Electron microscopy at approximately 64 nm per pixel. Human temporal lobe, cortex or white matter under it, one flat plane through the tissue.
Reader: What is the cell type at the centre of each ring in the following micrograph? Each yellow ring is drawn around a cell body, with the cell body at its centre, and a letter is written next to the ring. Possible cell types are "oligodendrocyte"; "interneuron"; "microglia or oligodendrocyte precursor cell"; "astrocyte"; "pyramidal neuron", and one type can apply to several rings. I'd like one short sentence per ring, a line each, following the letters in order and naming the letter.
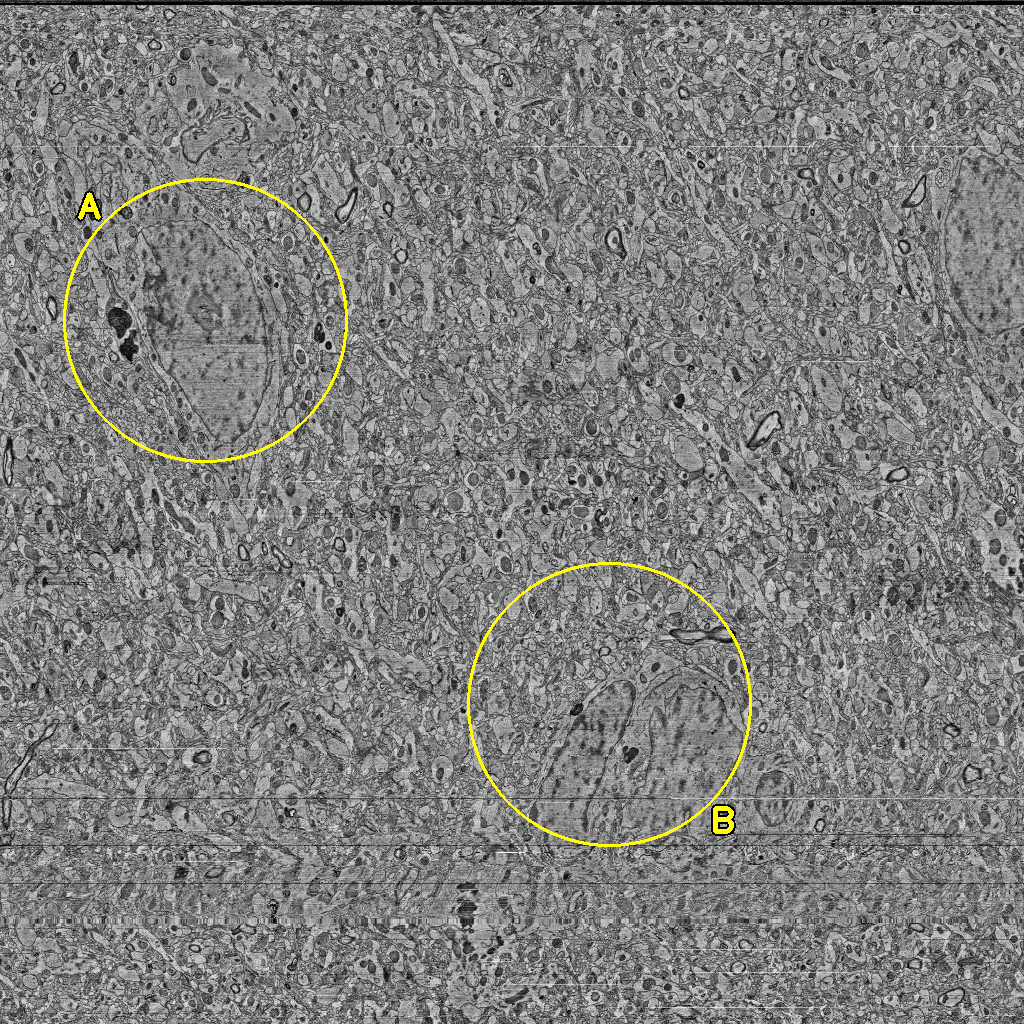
The cell body at the centre of ring A is that of an interneuron.
The cell body at the centre of ring B is that of a microglial cell or oligodendrocyte precursor cell.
